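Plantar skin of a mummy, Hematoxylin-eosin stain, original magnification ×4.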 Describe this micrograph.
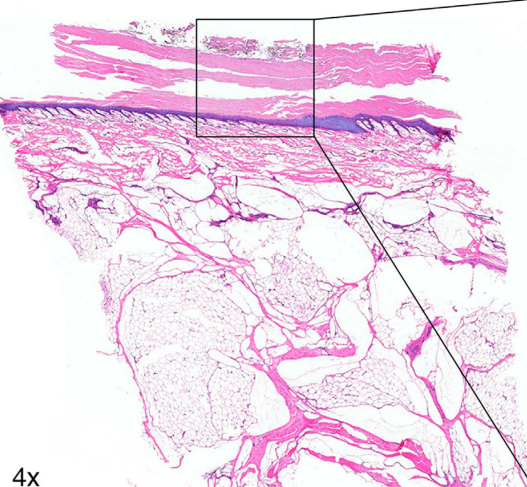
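Beneath lie a band of pink connective tissue and then large lobules of pale, honeycomb-like fat divided by pink fibrous septa. A few dark particles can be made out on the surface of the keratin.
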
